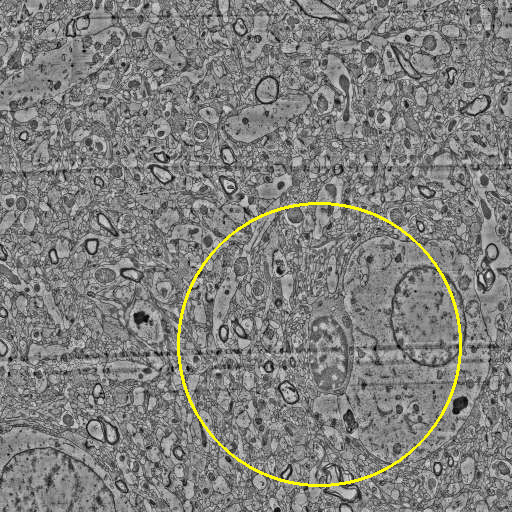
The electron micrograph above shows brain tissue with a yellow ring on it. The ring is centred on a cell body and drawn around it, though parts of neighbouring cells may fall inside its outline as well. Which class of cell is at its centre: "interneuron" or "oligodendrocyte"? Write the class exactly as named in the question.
oligodendrocyte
